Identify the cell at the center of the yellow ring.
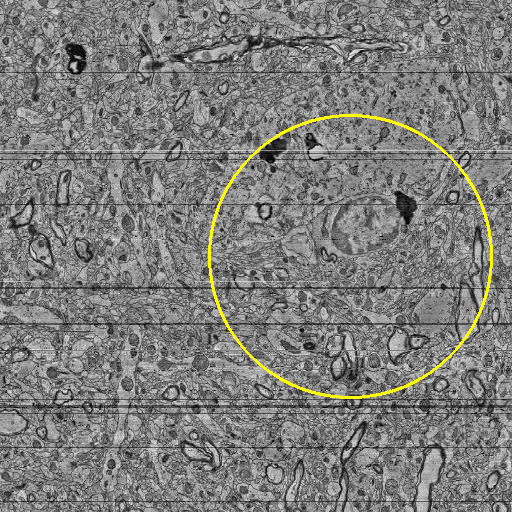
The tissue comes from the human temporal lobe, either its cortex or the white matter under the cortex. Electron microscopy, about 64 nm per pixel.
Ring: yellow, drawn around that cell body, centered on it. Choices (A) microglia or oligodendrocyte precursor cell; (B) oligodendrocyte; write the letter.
B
